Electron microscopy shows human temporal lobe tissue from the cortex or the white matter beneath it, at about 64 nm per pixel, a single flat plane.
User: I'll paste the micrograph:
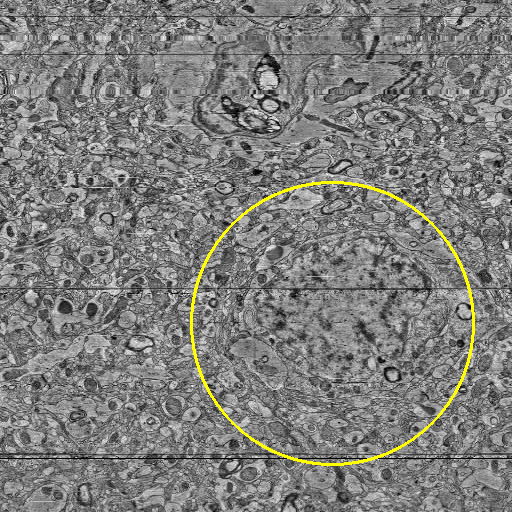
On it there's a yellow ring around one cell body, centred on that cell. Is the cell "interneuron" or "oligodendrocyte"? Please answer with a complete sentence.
The cell ringed in yellow is an interneuron.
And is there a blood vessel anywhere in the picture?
Yes, a blood vessel can be seen.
